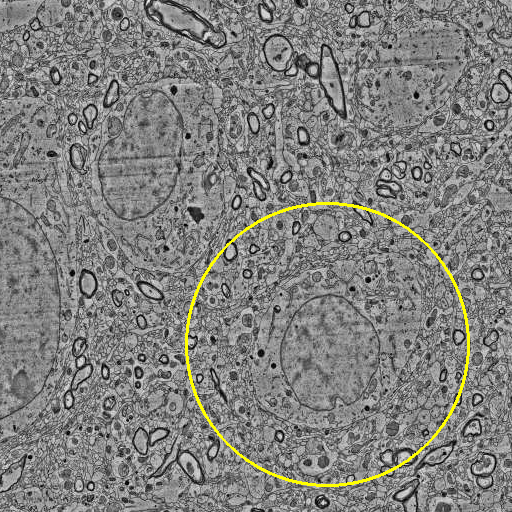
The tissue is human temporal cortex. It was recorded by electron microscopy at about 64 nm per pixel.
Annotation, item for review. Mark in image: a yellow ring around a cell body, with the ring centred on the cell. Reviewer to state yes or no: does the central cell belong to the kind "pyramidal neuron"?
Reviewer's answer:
yes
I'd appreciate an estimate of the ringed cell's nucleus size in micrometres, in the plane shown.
The nucleus appears roughly 8 by 6 micrometres in this plane.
